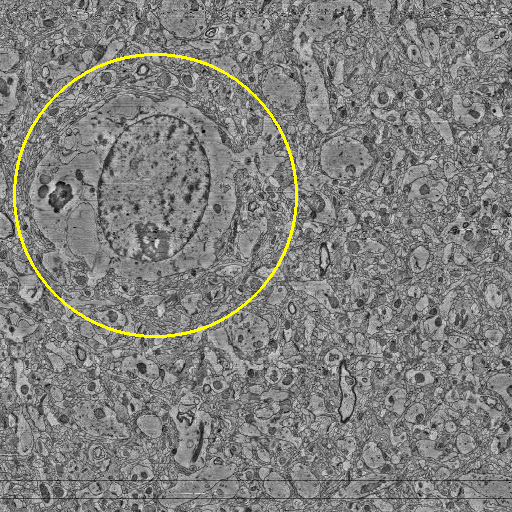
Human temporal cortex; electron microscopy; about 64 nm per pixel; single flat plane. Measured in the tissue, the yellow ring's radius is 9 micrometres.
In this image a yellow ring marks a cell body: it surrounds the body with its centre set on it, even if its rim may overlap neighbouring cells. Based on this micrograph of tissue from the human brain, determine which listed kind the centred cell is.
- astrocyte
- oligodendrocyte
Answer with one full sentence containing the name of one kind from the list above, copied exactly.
It is an astrocyte whose body the yellow ring encloses at its centre.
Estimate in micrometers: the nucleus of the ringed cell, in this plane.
About 10 by 7 micrometers for the nucleus, in this plane.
